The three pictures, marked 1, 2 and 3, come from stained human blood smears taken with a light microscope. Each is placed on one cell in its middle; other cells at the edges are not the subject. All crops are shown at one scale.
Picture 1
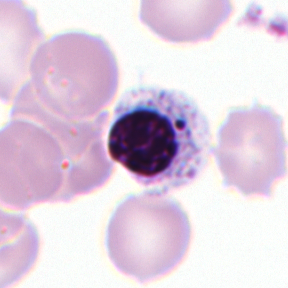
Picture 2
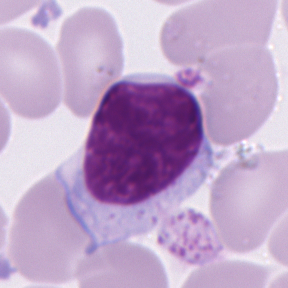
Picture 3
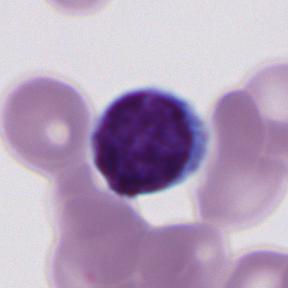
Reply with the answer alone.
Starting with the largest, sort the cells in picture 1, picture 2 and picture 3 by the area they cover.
2, 3, 1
